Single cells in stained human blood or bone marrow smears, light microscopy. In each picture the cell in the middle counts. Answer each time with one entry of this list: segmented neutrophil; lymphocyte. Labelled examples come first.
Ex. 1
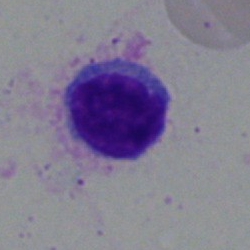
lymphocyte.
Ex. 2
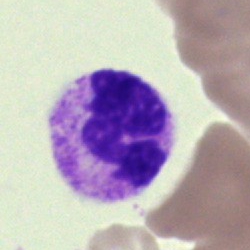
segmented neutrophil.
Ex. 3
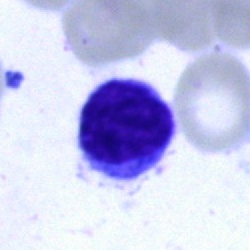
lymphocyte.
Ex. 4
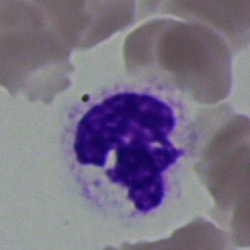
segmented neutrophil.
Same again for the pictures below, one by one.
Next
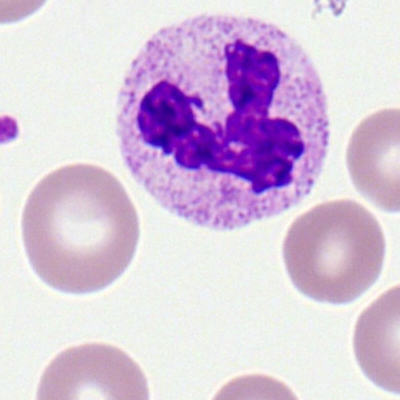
segmented neutrophil.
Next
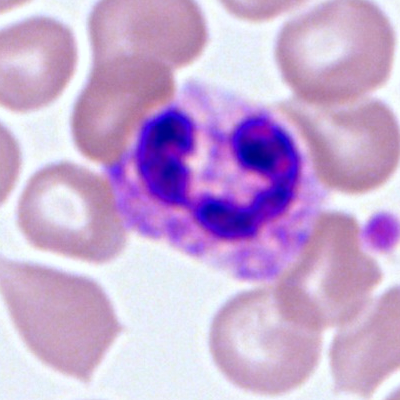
segmented neutrophil.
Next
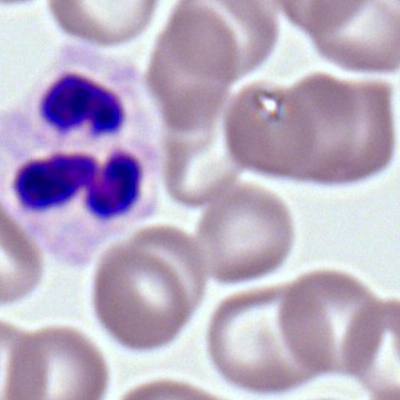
segmented neutrophil.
